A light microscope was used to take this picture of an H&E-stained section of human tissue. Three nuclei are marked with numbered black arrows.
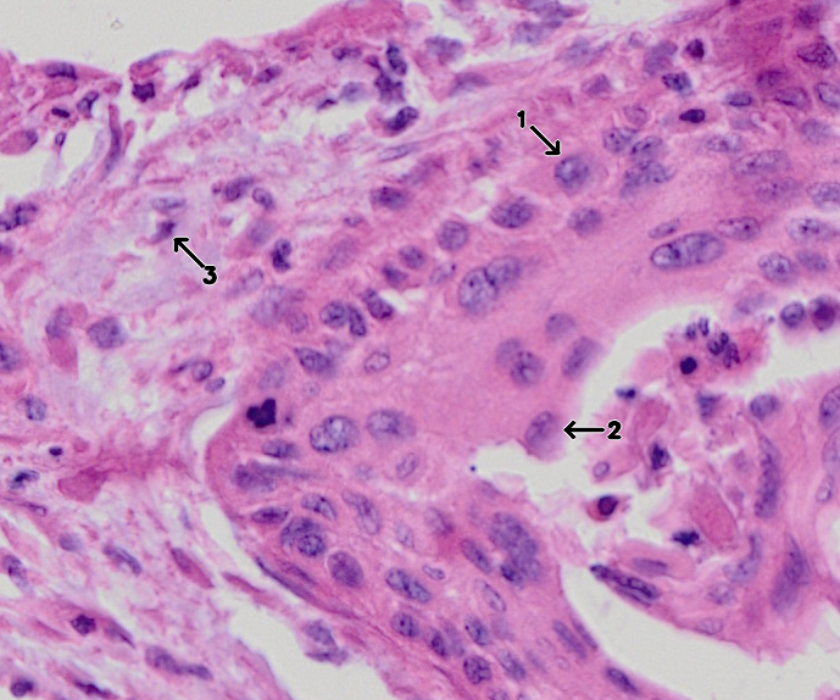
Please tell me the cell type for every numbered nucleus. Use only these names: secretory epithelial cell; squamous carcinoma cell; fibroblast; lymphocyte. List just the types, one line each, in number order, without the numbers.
squamous carcinoma cell
squamous carcinoma cell
fibroblast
